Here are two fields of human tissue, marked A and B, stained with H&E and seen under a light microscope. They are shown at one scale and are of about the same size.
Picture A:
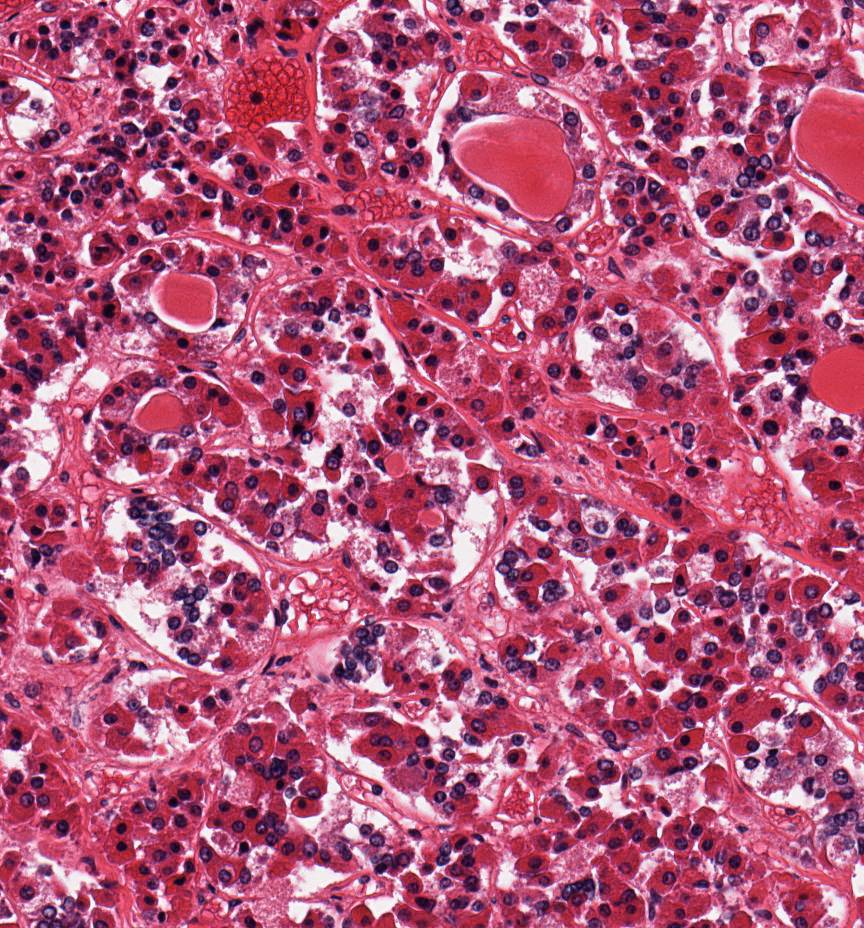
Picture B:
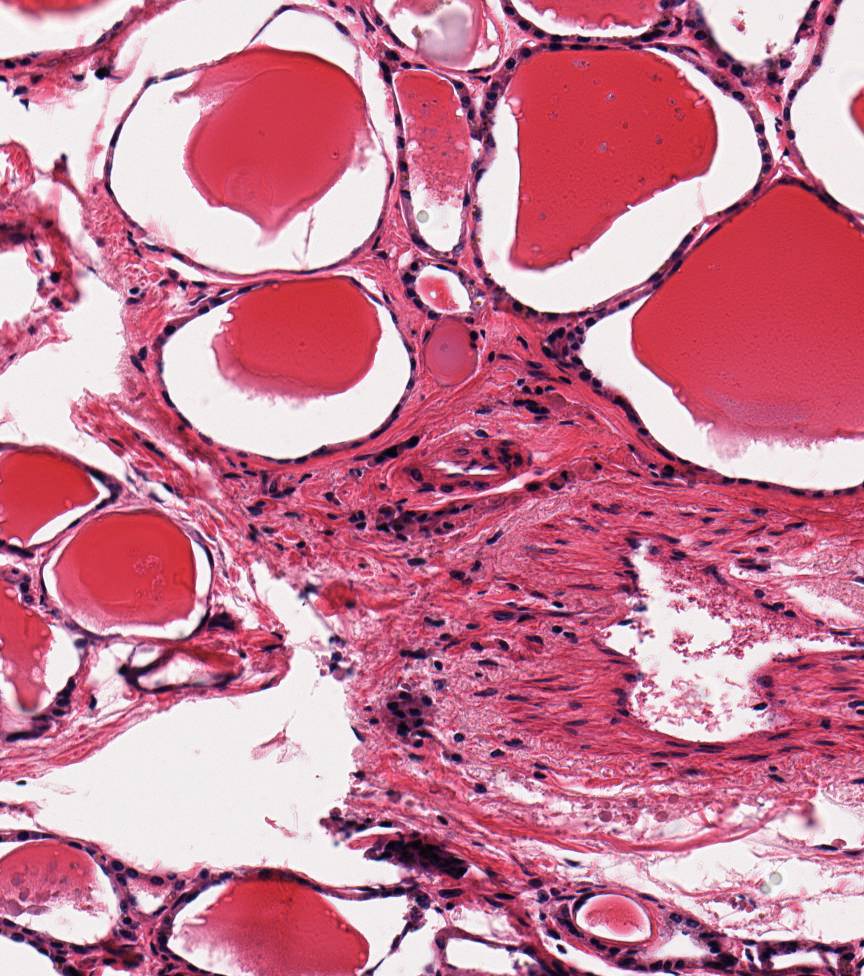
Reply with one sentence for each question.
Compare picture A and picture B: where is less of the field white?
Picture A has less white space.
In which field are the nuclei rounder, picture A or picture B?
On the whole the nuclei of picture A are rounder than those of picture B.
